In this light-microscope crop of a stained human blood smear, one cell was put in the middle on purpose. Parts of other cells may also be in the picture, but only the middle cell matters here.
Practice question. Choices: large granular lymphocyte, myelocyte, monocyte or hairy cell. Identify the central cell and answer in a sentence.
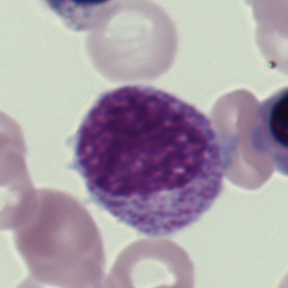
The cell marked by its central position in the crop is a myelocyte.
